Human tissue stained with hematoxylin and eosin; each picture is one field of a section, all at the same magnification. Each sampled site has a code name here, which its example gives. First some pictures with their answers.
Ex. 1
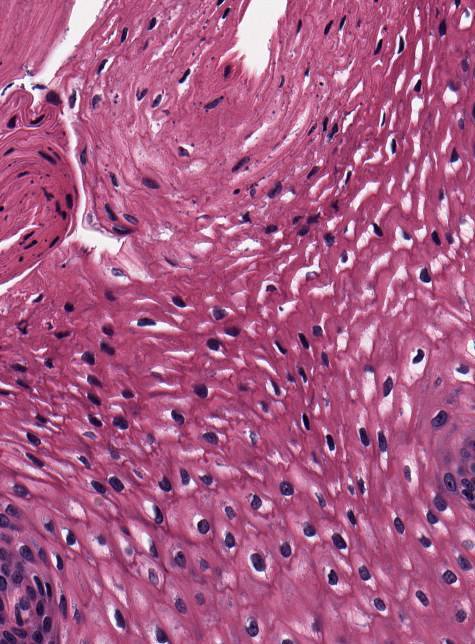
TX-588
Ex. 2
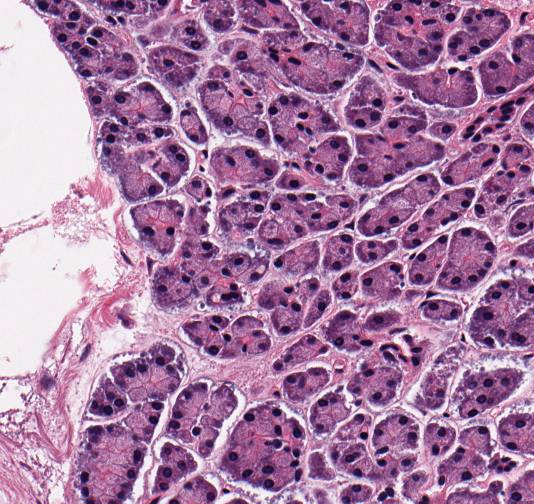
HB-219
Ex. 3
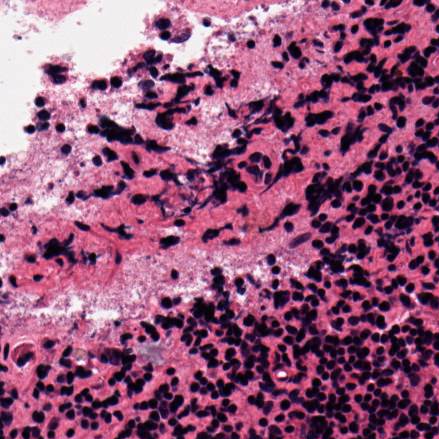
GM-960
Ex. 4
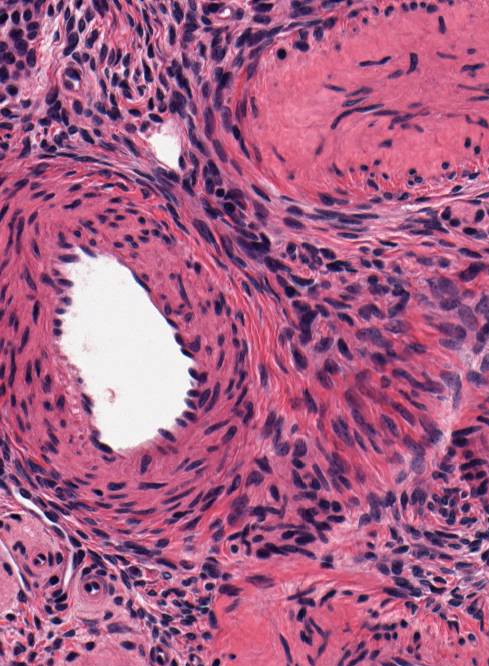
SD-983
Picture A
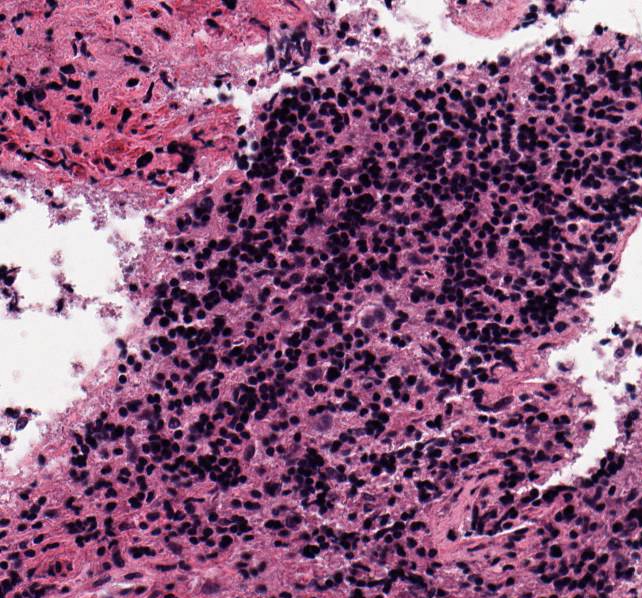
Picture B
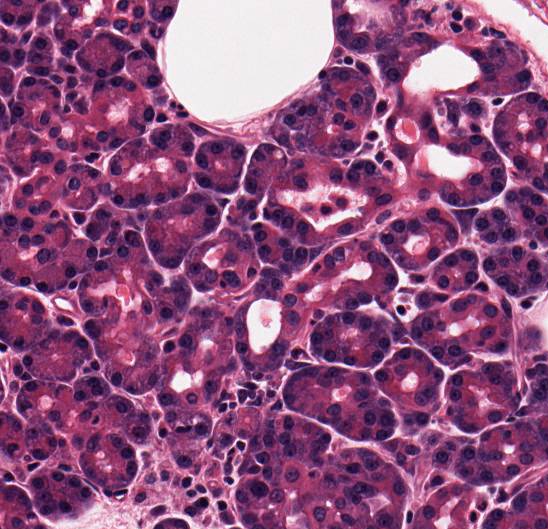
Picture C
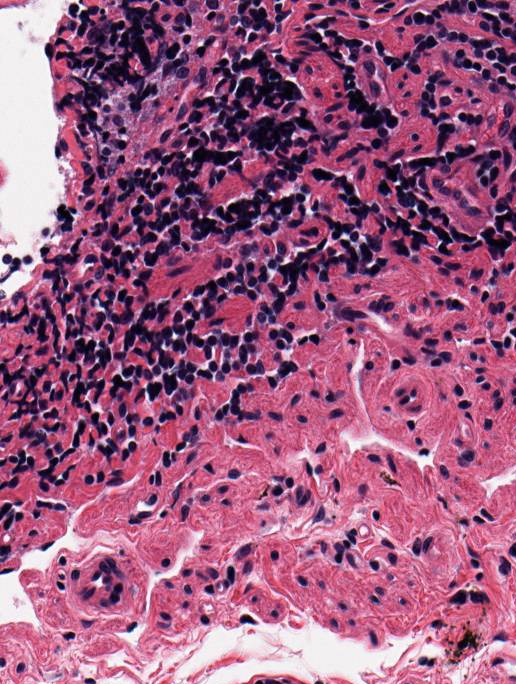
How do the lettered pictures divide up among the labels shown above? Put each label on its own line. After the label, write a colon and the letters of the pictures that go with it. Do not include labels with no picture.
HB-219: B
GM-960: A, C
